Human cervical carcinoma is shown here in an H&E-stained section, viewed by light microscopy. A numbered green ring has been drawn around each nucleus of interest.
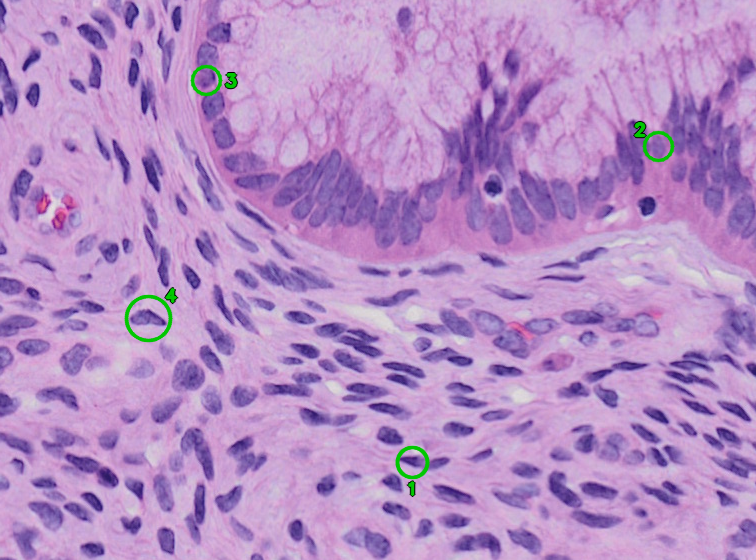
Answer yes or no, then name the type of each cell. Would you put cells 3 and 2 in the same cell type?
Yes, sure, cells 3 and 2 are both secretory epithelial cells.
